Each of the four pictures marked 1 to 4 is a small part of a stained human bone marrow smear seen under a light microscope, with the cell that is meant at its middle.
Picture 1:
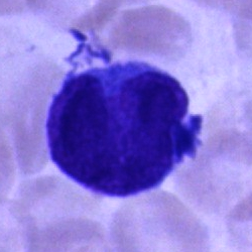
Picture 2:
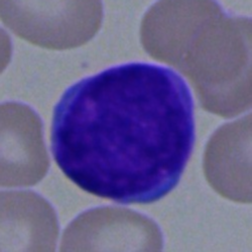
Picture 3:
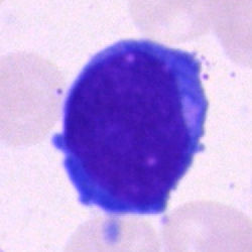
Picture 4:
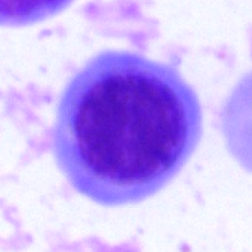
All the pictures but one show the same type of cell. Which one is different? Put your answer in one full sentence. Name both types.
All pictures except 4 show blasts; picture 4 shows an erythroblast.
